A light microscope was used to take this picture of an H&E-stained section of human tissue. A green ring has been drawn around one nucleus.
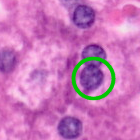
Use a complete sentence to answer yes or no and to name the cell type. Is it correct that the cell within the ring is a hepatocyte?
Yes, the cell within the ring counts as a hepatocyte in this tissue.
